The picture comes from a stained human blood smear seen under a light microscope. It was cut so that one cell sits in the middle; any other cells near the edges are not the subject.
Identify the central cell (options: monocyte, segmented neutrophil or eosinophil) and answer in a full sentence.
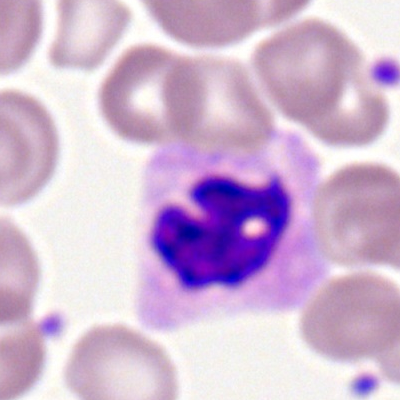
Present in the middle of the crop is a segmented neutrophil.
